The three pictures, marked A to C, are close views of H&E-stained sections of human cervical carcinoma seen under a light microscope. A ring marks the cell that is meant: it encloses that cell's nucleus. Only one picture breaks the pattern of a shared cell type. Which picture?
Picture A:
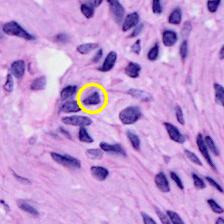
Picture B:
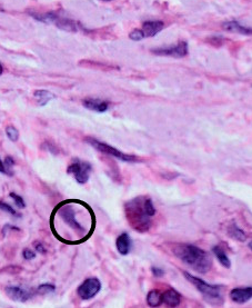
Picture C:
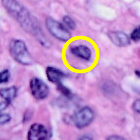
C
